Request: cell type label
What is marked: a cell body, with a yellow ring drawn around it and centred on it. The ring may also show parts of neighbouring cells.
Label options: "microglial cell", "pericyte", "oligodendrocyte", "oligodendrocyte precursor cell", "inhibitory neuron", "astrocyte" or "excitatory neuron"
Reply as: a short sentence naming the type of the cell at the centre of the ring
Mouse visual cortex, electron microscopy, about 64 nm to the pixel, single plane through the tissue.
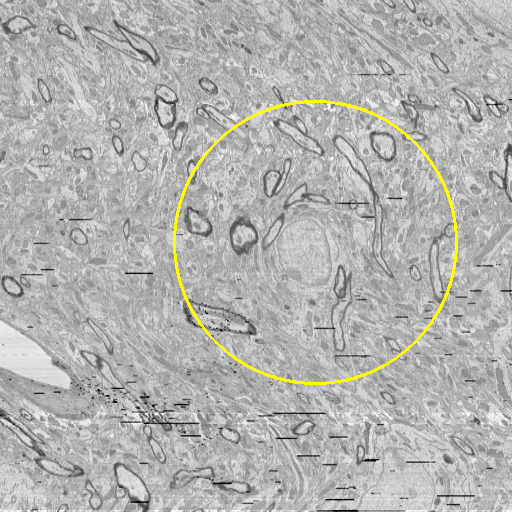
The marked cell body is that of an oligodendrocyte precursor cell.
